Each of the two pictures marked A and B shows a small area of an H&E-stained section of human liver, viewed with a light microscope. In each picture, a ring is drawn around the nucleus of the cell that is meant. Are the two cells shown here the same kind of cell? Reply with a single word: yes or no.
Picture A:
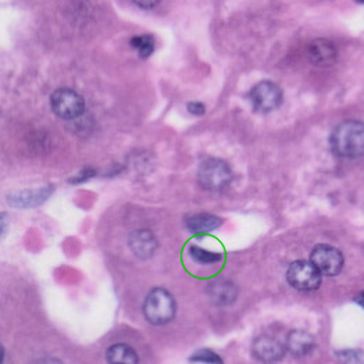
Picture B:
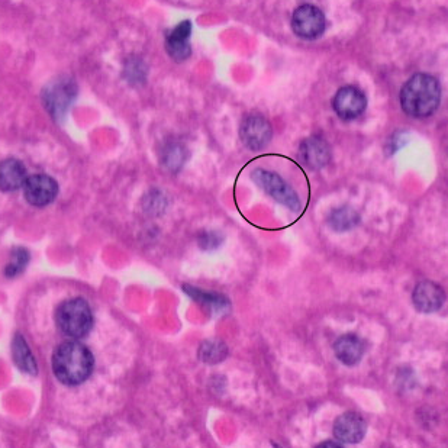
no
